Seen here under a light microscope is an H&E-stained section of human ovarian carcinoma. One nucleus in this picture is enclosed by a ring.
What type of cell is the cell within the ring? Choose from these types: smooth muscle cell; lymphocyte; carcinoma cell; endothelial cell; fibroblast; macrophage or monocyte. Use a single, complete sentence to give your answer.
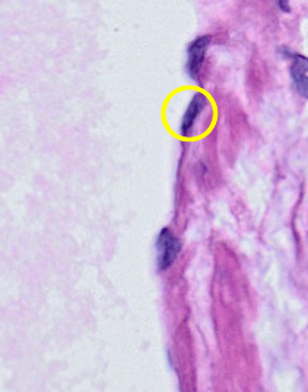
Speaking plainly, the cell within the ring is nothing other than an endothelial cell.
